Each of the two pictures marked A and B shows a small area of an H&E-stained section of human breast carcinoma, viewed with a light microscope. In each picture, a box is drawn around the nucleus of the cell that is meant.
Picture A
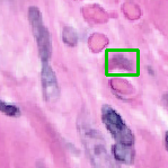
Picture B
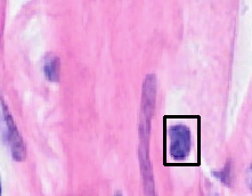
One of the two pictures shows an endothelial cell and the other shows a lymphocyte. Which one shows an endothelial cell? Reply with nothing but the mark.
A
